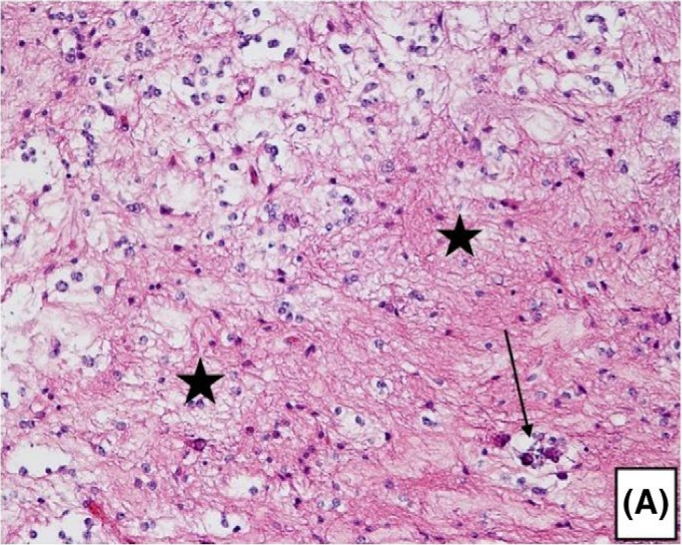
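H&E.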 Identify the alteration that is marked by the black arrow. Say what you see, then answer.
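A small clump of dark purple granular bodies at the arrow tip. That points to this answer: microcalcifications.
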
